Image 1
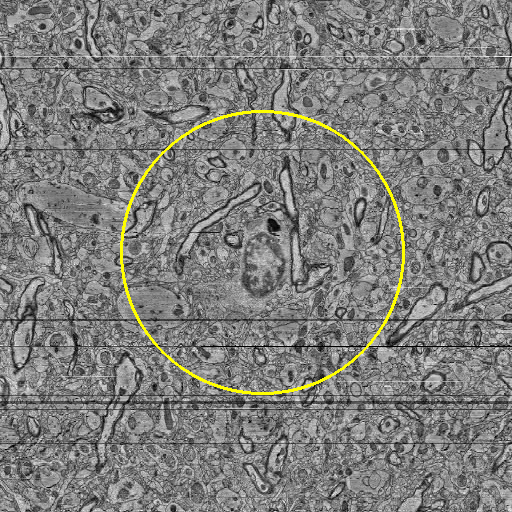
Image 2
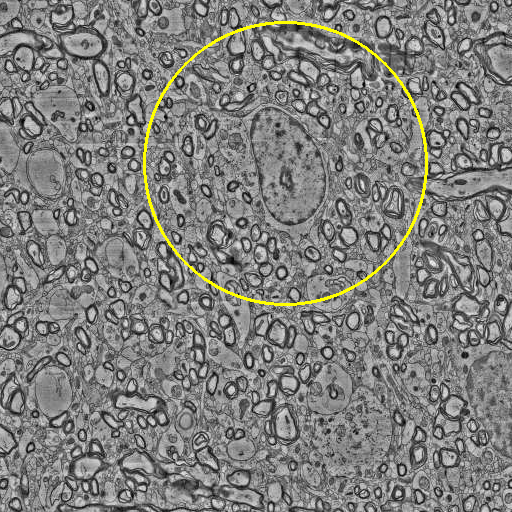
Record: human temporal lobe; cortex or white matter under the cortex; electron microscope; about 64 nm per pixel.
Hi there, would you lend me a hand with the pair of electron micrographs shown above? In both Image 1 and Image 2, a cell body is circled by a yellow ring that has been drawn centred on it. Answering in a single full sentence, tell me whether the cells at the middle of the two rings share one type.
No, the ringed cells in Image 1 and Image 2 belong to two types.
